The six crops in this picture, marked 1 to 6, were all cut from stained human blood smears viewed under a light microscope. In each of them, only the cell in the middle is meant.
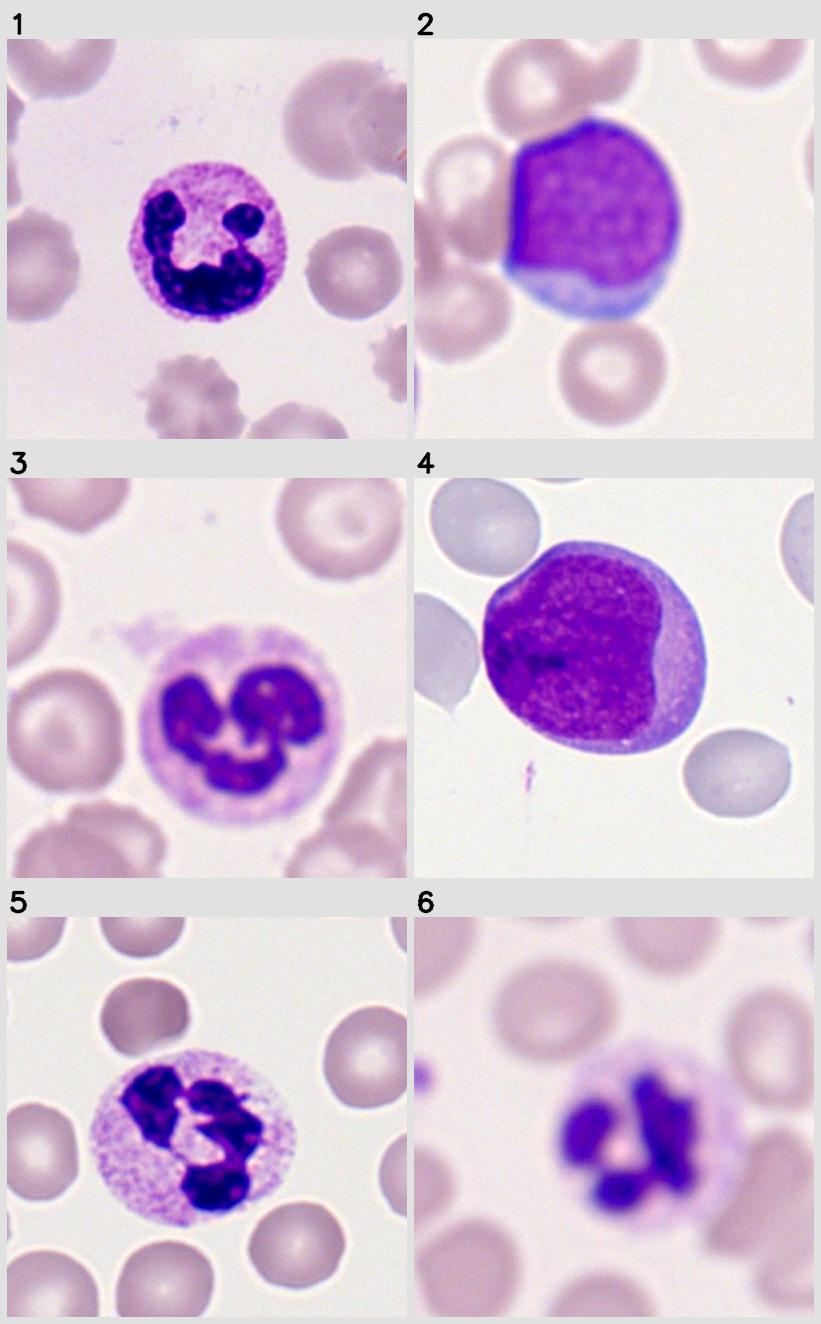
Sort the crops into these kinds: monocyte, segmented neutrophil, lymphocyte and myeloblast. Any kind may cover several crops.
1: segmented neutrophil
2: myeloblast
3: segmented neutrophil
4: myeloblast
5: segmented neutrophil
6: segmented neutrophil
